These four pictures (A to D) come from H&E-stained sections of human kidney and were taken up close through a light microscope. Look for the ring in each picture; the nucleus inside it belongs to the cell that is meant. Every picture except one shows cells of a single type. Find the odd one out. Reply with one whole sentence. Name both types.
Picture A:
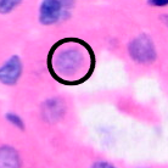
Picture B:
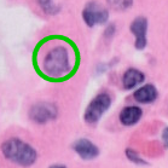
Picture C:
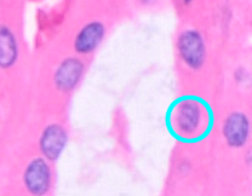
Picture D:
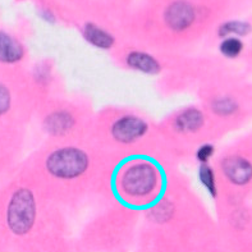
The different one is picture D; it shows a proximal tubule cell, whereas all the others show “loop of Henle or distal tubule cells”.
